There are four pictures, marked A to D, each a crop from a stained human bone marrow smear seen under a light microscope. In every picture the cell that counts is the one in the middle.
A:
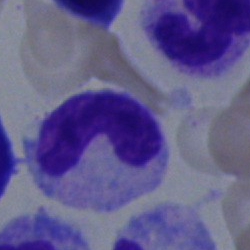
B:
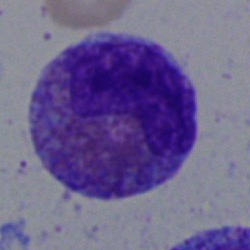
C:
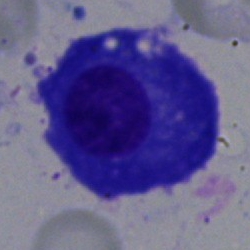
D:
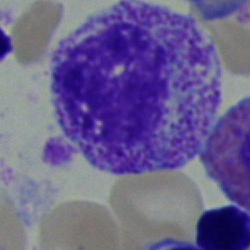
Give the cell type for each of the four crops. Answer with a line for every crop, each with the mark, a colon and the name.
A: band neutrophil
B: eosinophil
C: plasma cell
D: myelocyte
